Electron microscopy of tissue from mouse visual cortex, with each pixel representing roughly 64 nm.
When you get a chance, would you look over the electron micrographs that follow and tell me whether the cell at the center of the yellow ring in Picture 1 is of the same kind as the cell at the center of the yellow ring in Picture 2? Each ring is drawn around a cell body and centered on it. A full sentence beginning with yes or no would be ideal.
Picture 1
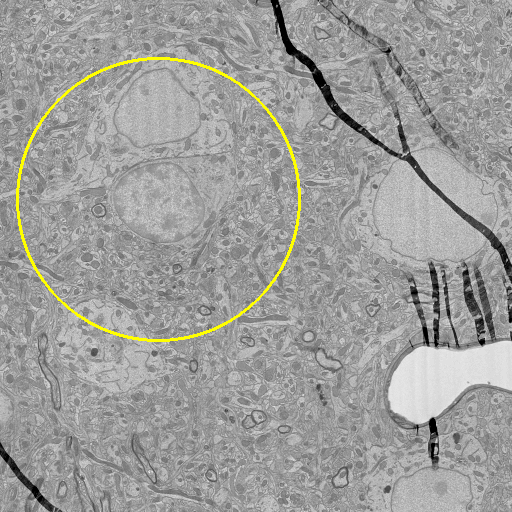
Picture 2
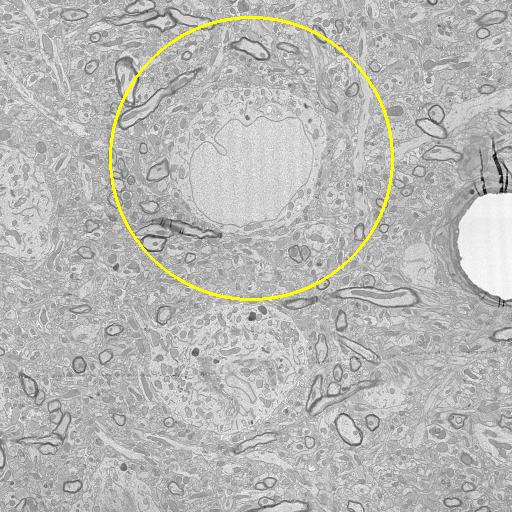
No, they are two kinds of cell.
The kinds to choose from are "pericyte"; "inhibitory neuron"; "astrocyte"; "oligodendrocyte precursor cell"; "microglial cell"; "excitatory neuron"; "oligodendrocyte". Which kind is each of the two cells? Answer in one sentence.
Of the two, the first cell is an oligodendrocyte and the second cell is an excitatory neuron.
